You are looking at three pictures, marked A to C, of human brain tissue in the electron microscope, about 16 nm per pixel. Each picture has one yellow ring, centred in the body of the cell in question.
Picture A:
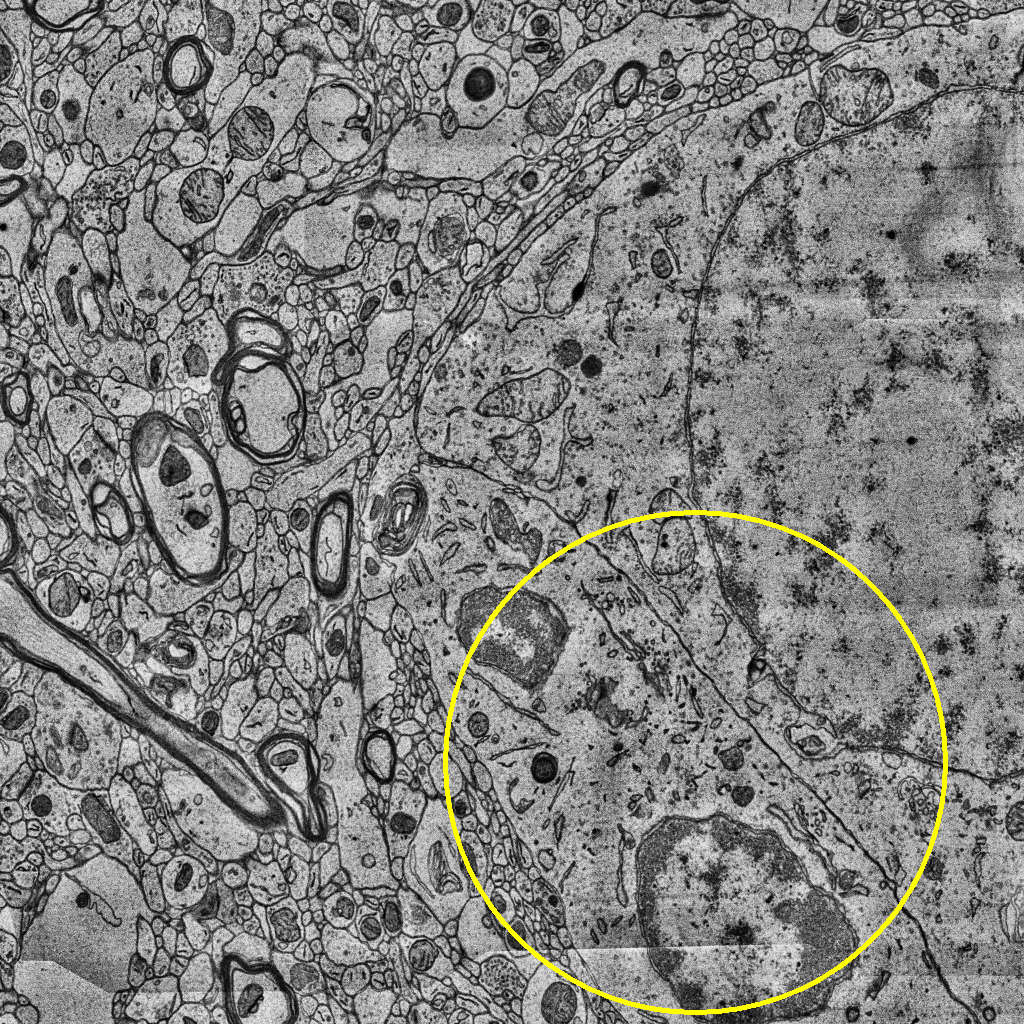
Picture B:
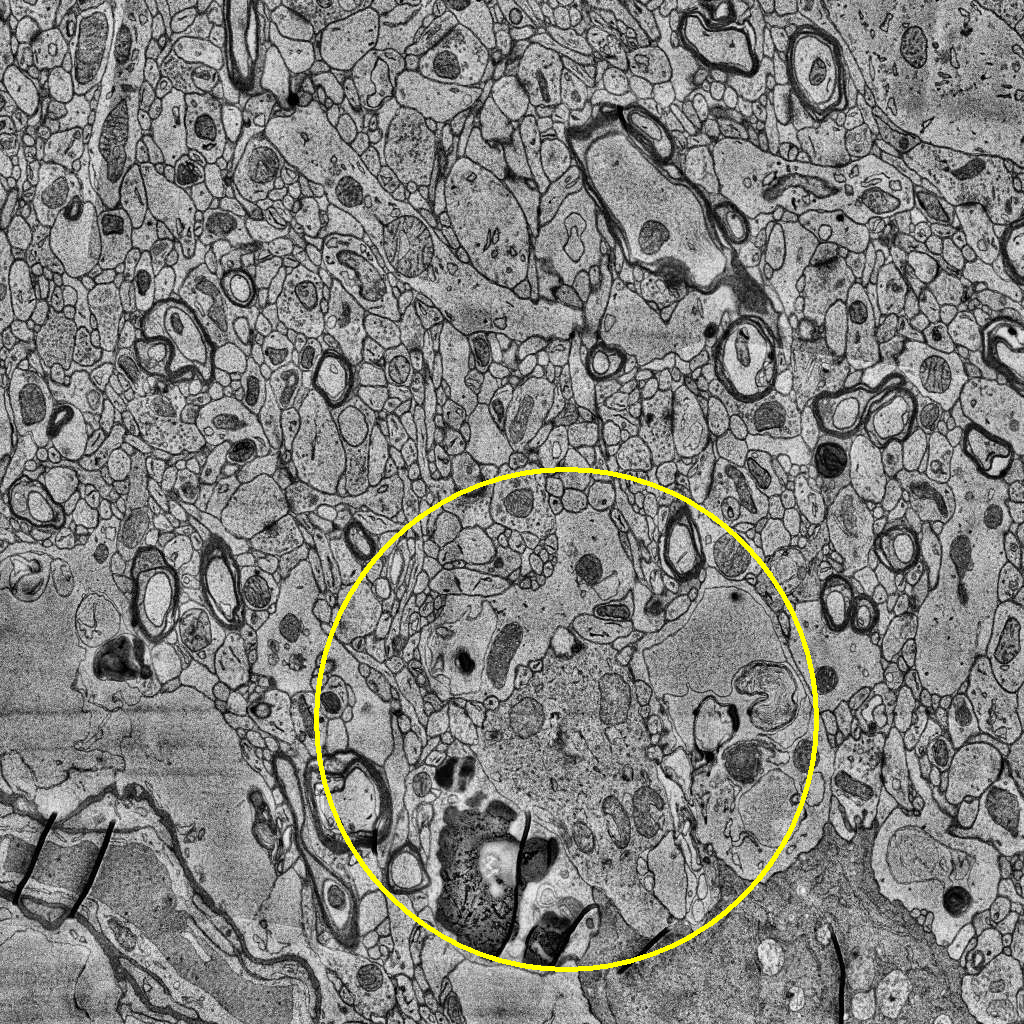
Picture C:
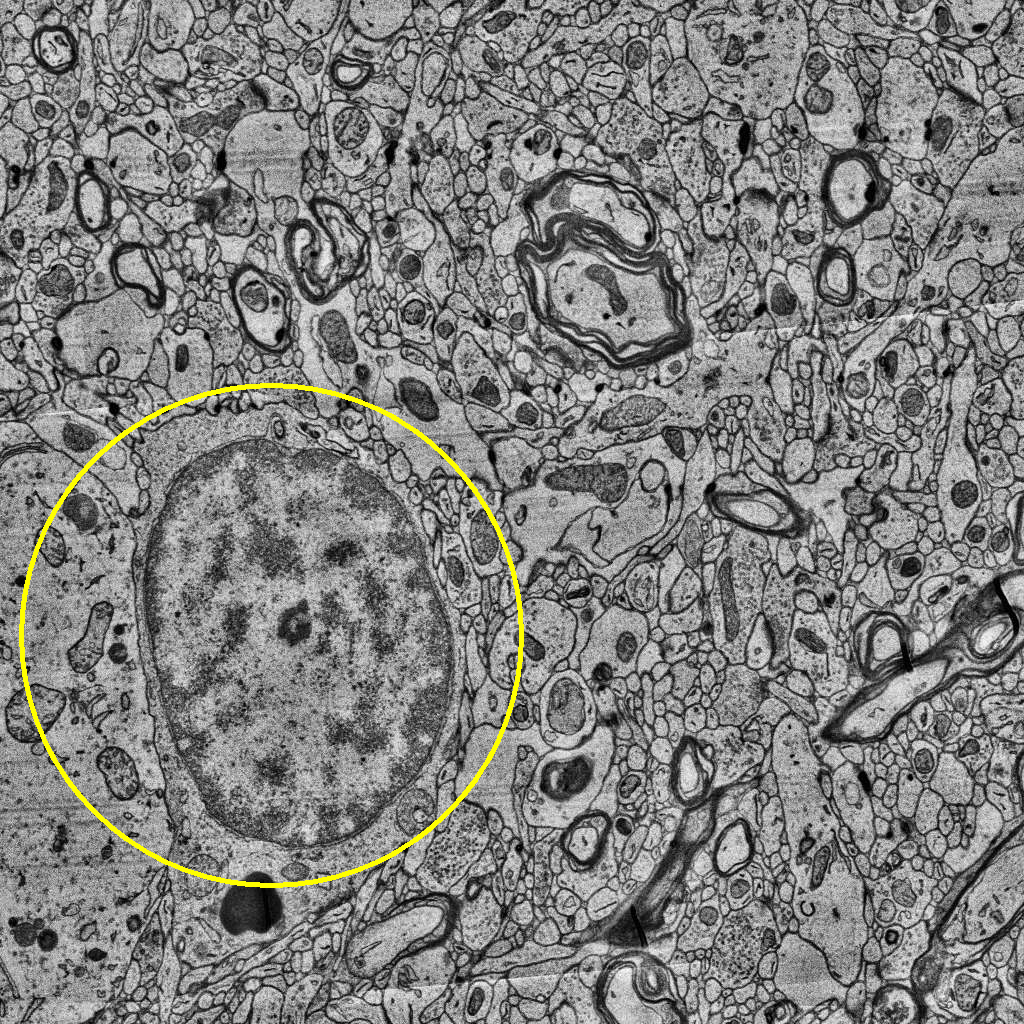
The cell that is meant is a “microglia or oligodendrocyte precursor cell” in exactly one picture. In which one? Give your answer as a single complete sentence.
It is picture A that shows the “microglia or oligodendrocyte precursor cell”.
